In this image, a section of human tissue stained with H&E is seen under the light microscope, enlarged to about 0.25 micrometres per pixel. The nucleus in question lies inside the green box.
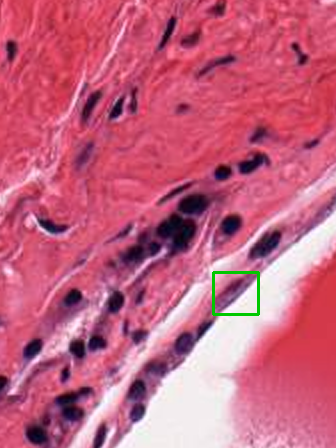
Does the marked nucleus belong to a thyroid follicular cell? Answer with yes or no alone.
yes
